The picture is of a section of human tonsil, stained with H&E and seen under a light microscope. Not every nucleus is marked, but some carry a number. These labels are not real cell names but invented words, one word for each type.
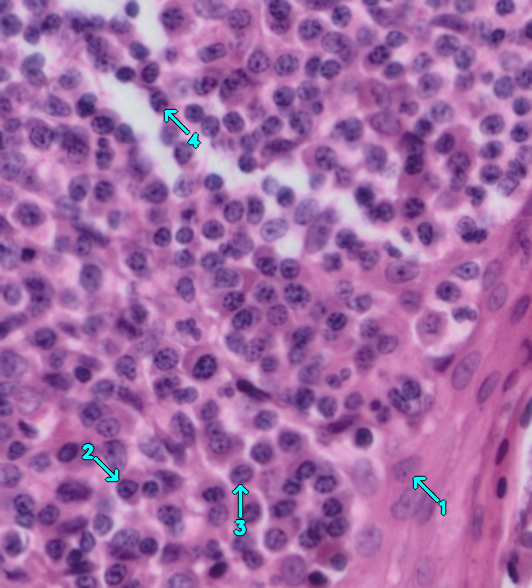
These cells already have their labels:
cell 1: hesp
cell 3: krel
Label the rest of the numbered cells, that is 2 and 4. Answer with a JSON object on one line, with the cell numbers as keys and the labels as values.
{"2": "krel", "4": "krel"}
